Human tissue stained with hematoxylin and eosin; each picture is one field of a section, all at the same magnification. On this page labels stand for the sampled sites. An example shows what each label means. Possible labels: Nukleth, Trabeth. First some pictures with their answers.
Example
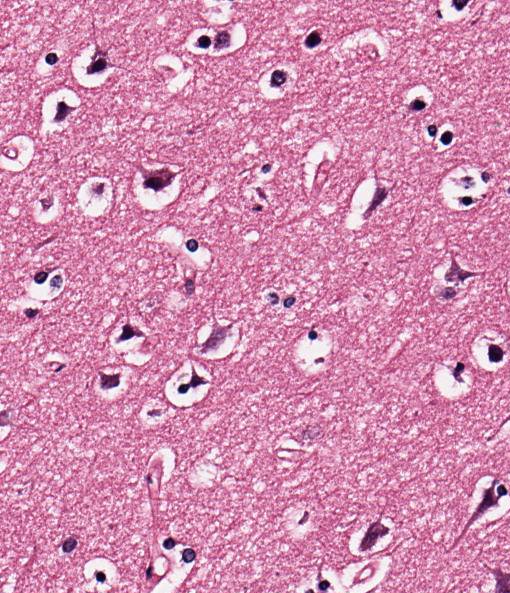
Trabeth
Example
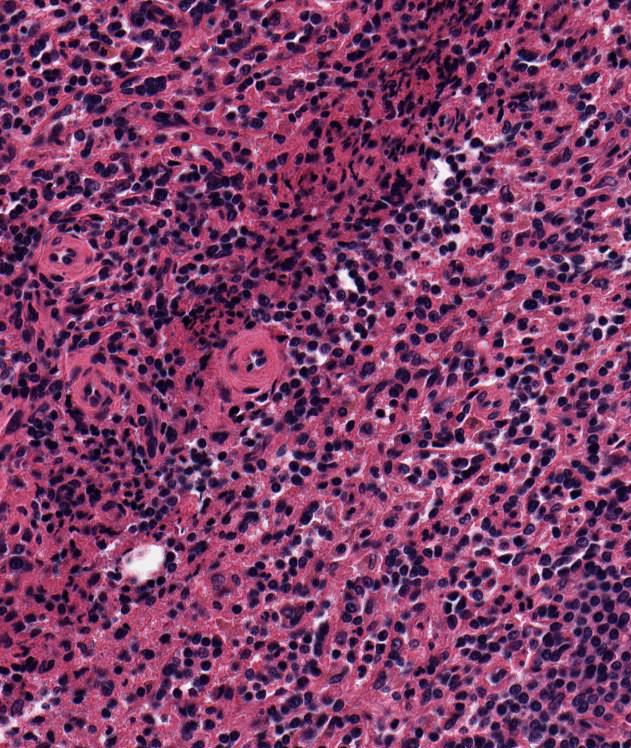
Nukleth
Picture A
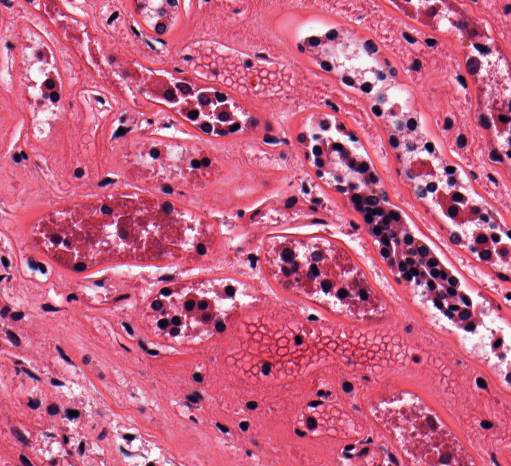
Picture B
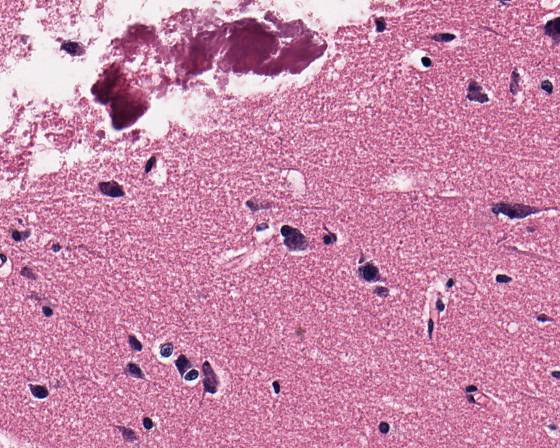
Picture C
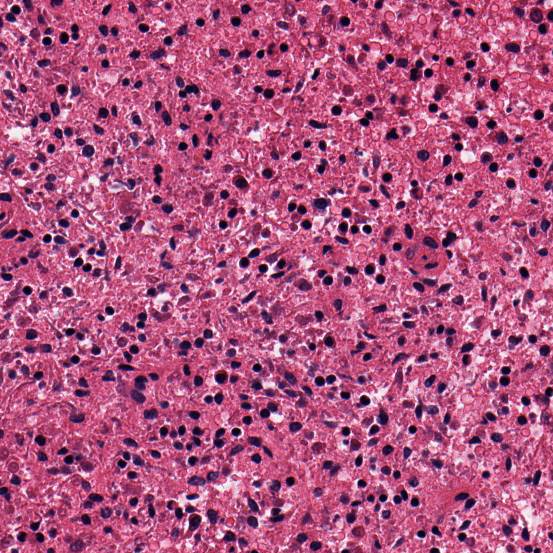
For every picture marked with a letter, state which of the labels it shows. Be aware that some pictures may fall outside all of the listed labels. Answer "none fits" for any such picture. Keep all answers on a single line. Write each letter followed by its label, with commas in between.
A none fits, B Trabeth, C Nukleth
